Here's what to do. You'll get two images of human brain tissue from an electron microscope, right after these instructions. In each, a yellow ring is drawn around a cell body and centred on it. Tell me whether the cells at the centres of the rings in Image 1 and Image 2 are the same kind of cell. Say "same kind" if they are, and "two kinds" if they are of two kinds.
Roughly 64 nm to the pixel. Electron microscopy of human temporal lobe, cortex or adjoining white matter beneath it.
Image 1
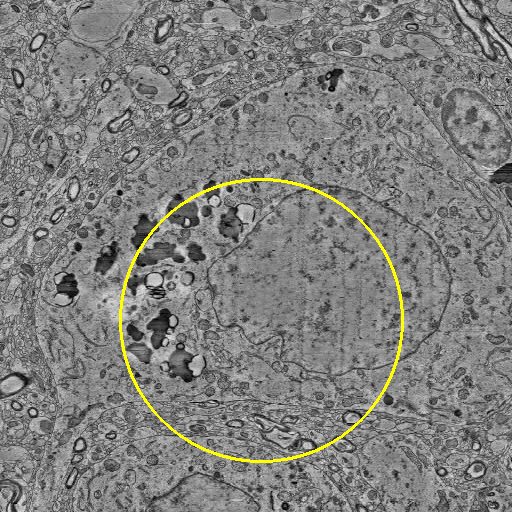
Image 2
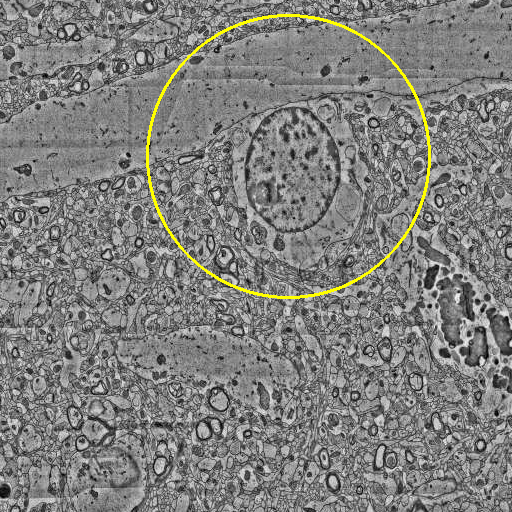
two kinds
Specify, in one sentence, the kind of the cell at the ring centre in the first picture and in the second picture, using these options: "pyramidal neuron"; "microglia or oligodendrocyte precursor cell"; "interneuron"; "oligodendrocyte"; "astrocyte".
So the first is a pyramidal neuron, the second an astrocyte.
